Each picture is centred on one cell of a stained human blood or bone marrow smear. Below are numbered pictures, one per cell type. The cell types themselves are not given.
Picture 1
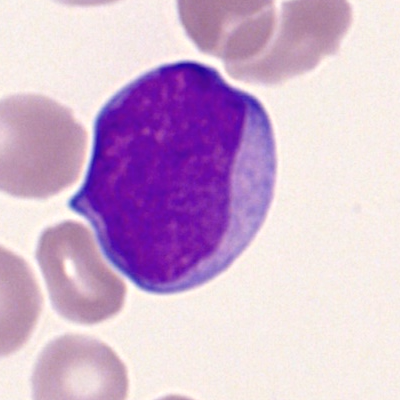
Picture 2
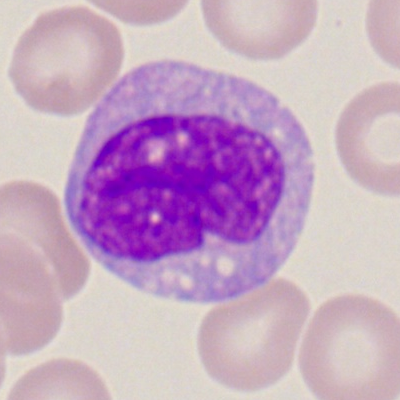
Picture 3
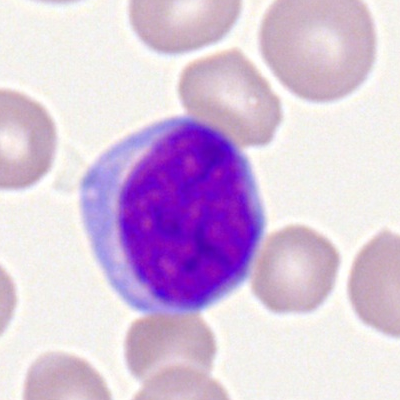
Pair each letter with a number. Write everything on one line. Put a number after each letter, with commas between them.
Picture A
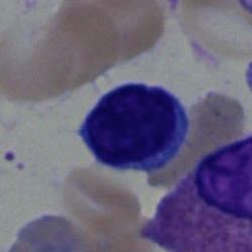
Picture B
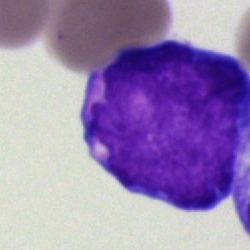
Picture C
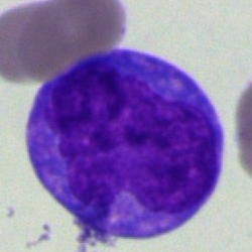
A 3, B 1, C 1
